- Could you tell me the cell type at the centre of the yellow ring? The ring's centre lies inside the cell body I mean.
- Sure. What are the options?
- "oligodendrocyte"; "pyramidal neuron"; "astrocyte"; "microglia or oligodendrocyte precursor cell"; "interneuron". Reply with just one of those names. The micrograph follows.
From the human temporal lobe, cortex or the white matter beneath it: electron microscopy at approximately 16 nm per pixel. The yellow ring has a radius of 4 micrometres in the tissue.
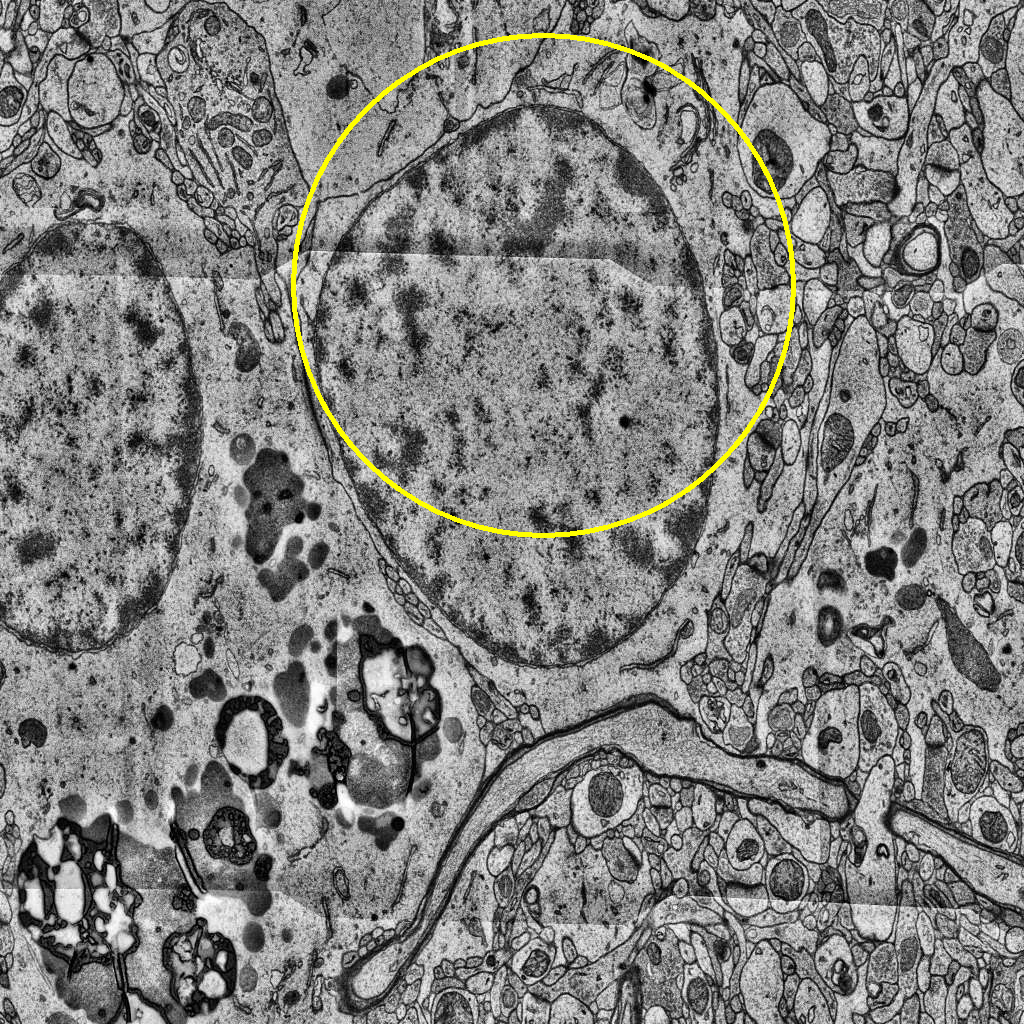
astrocyte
